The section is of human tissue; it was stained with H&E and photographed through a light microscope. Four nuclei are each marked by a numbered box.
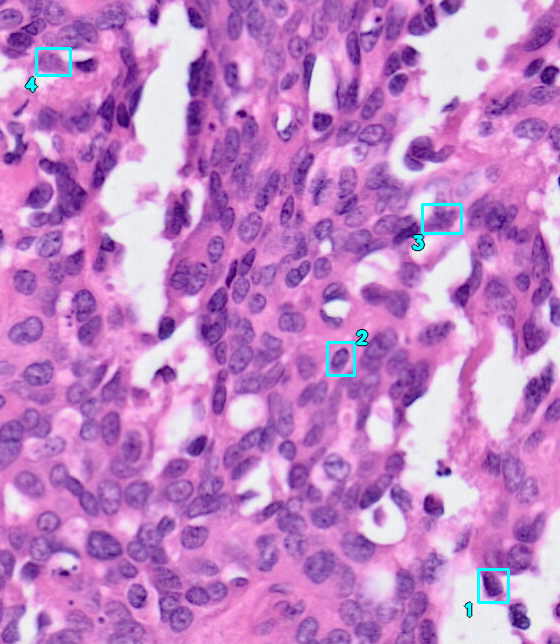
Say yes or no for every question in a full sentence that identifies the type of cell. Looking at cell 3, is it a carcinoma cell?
Yes, the cell tagged with the number 3 is a carcinoma cell.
